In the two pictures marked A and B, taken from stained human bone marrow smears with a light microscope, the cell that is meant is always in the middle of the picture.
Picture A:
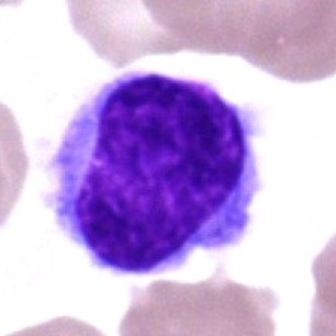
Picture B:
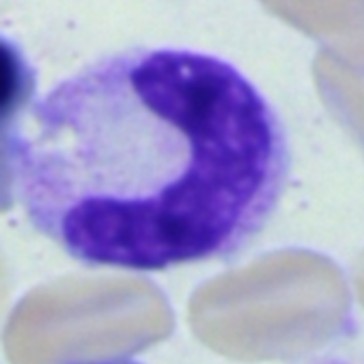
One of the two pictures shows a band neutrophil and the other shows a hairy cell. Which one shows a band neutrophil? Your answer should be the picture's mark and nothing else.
B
